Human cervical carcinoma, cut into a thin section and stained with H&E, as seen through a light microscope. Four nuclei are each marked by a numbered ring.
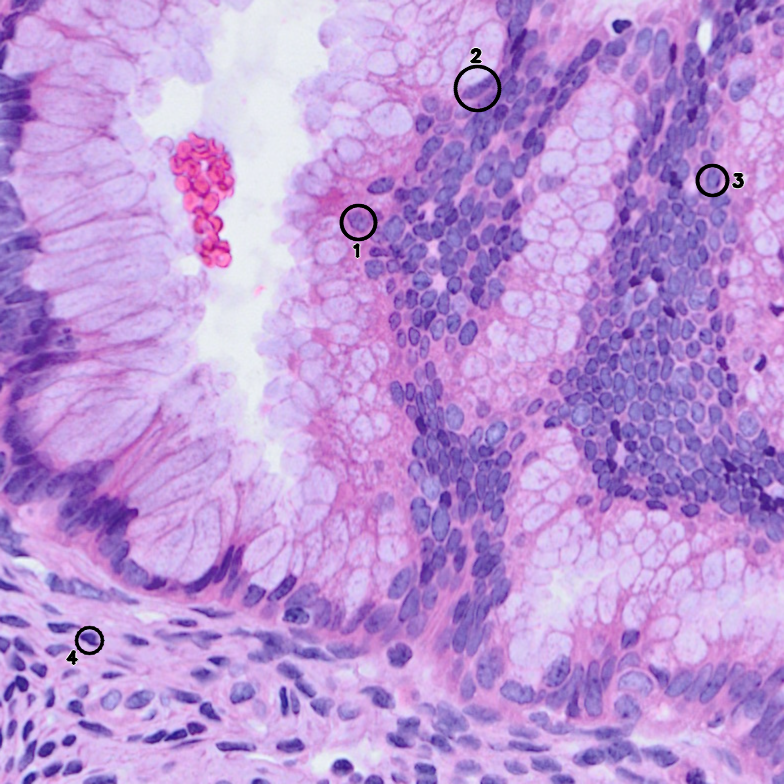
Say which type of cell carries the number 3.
secretory epithelial cell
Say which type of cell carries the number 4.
fibroblast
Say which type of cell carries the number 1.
secretory epithelial cell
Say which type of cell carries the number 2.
secretory epithelial cell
